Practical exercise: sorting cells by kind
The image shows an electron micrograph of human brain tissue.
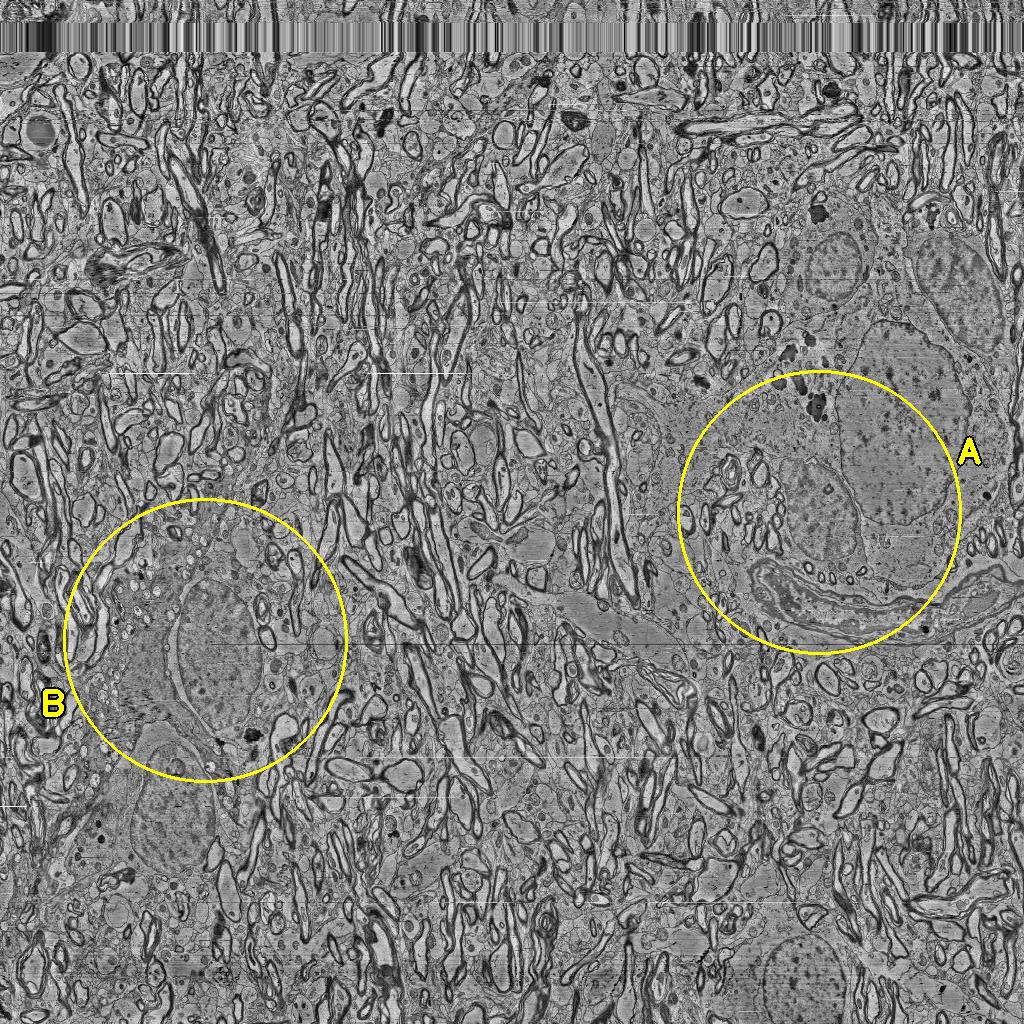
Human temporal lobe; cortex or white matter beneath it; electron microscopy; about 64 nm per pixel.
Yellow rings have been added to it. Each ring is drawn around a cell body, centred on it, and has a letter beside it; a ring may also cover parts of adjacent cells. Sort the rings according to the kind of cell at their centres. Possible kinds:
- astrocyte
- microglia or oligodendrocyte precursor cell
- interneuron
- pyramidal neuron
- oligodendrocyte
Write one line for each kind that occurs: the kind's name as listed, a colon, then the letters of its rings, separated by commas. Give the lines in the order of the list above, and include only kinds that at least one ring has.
oligodendrocyte: A, B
